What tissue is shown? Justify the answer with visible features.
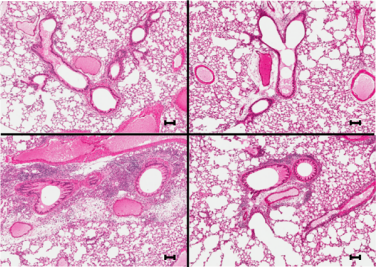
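Fine lace-like network of thin-walled alveolar spaces fills the fields. Round and branching airways lined by epithelium lie among blood vessels.
Conclusion: Lung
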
